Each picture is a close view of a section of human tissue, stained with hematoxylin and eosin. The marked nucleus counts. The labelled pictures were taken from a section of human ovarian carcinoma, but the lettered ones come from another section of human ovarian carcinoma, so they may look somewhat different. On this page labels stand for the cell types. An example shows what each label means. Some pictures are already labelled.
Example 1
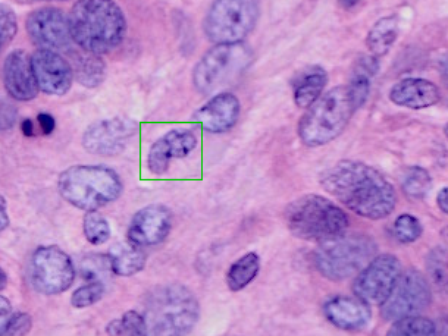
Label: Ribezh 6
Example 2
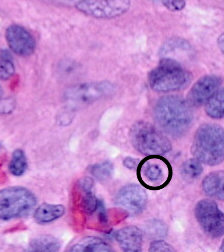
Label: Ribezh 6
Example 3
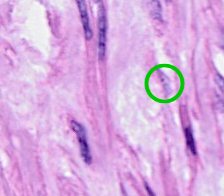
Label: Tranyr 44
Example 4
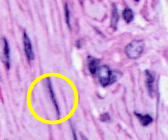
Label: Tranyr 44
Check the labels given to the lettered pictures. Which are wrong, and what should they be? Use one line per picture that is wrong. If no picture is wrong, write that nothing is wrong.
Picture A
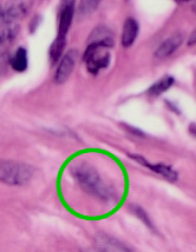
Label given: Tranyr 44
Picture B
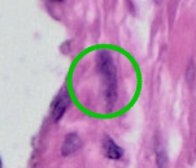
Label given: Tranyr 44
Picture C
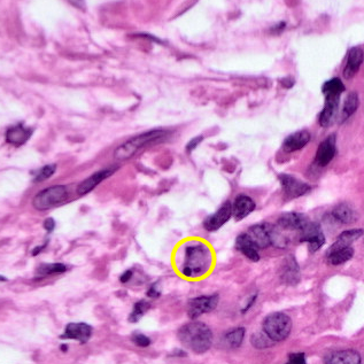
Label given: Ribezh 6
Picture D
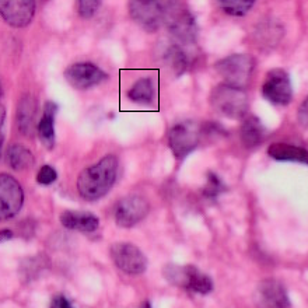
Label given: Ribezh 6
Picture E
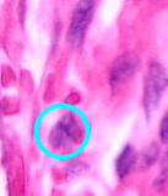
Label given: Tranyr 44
All correct.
